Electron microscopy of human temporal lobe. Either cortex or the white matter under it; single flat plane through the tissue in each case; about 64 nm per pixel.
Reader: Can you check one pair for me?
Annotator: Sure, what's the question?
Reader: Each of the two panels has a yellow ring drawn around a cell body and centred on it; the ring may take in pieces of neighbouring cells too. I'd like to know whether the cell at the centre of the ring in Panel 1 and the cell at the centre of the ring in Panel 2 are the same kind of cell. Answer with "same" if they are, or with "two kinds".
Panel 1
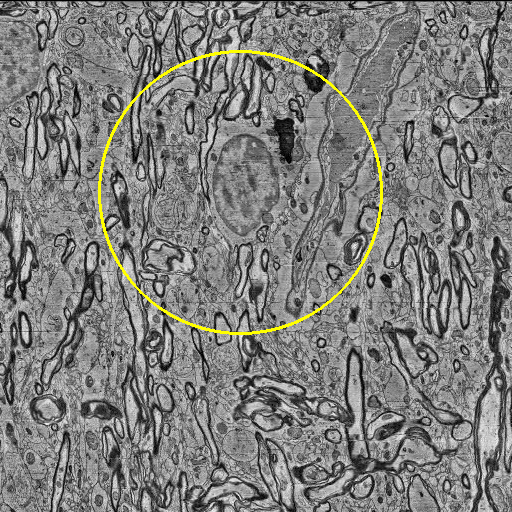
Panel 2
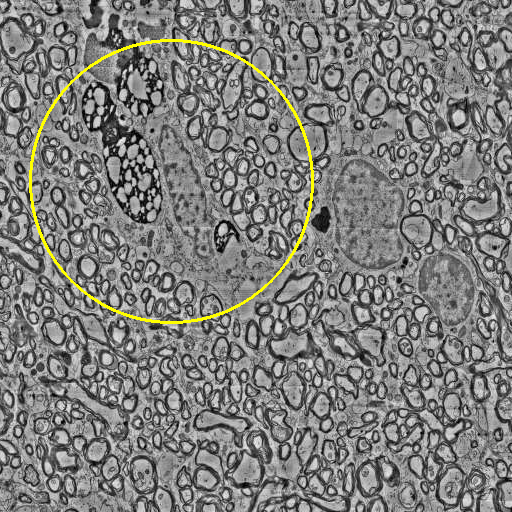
two kinds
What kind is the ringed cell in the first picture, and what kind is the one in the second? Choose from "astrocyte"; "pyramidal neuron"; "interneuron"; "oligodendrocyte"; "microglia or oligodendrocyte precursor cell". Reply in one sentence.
The first cell is an oligodendrocyte; the second is an astrocyte.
